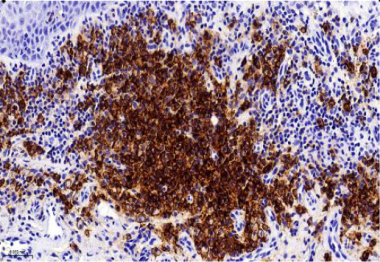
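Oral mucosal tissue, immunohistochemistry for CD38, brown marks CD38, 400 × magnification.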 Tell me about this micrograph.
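The brown cells are round to oval, packed together into a large confluent aggregate, with stain outlining the cell borders and filling the cytoplasm around blue nuclei. Around the aggregate lie smaller blue-nucleated inflammatory cells without brown stain, and at the upper left the pale squamous epithelial cells remain unstained.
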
